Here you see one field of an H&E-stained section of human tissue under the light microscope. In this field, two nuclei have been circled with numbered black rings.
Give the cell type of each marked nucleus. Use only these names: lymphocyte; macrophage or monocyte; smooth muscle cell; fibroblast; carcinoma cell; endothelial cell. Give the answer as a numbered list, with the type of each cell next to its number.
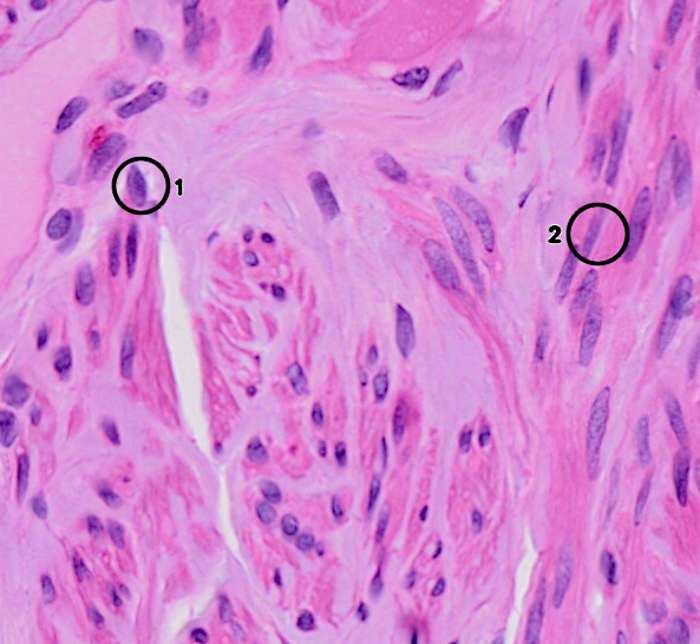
1. fibroblast
2. smooth muscle cell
